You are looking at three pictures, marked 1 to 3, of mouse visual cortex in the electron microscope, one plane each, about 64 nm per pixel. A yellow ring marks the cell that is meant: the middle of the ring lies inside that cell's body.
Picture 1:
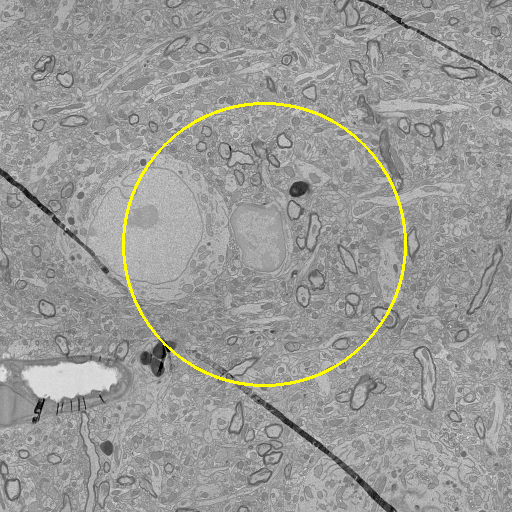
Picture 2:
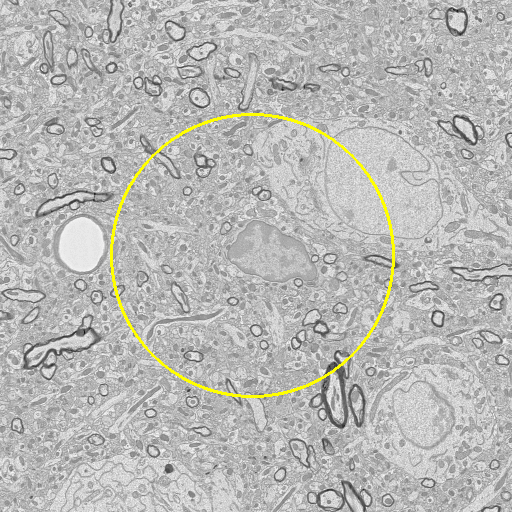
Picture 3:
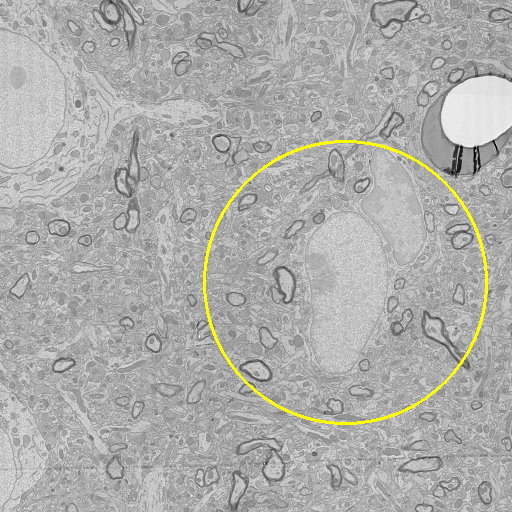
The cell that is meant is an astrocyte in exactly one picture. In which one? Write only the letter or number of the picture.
3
